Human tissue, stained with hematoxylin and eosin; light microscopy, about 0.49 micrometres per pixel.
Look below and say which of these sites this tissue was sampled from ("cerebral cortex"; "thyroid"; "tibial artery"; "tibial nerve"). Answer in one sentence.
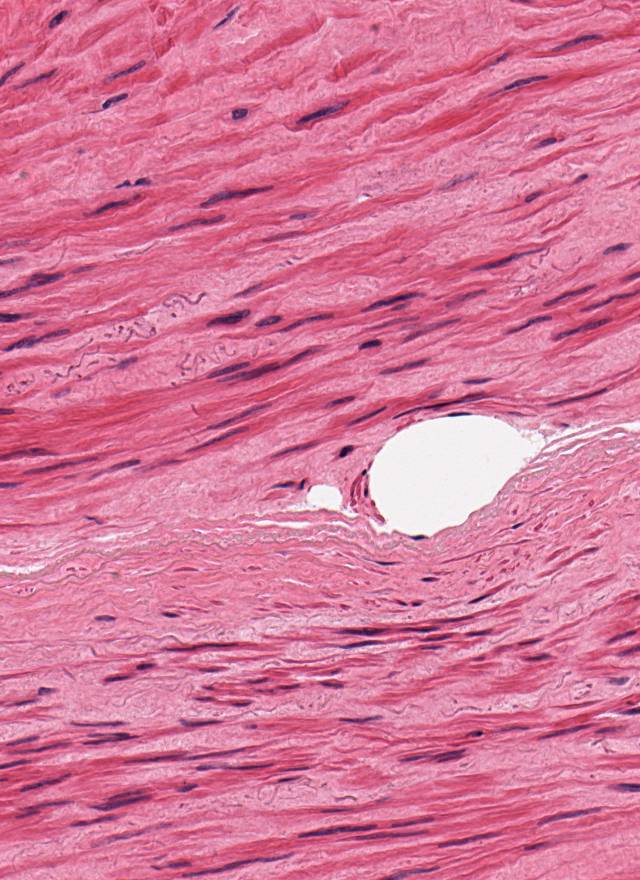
The site this tissue was sampled from is the tibial artery.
